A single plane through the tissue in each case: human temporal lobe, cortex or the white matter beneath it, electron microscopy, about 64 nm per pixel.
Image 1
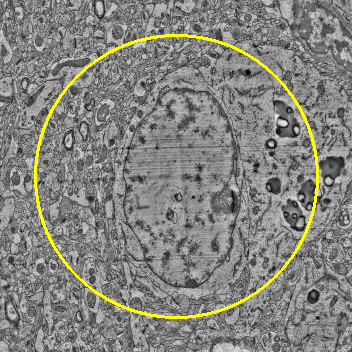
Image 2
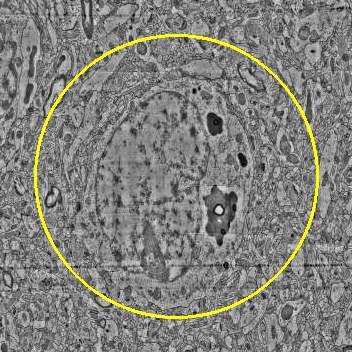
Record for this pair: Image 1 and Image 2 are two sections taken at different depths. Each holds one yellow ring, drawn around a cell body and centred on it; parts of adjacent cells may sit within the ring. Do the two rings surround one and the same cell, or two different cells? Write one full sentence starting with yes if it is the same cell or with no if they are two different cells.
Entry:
No, the cell in one ring is not the cell in the other.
